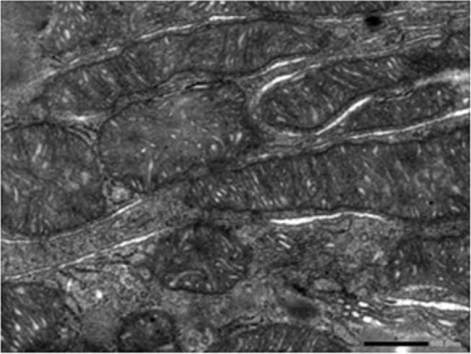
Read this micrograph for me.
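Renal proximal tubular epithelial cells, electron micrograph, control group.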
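The mitochondria are mostly elongated and lie in parallel rows, closely side by side. Each has a dark matrix crossed by many thin, regular, parallel cristae. Narrow pale clefts run between some rows of mitochondria. Smaller, rounded mitochondria with the same regular cristae appear in the lower part of the field.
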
